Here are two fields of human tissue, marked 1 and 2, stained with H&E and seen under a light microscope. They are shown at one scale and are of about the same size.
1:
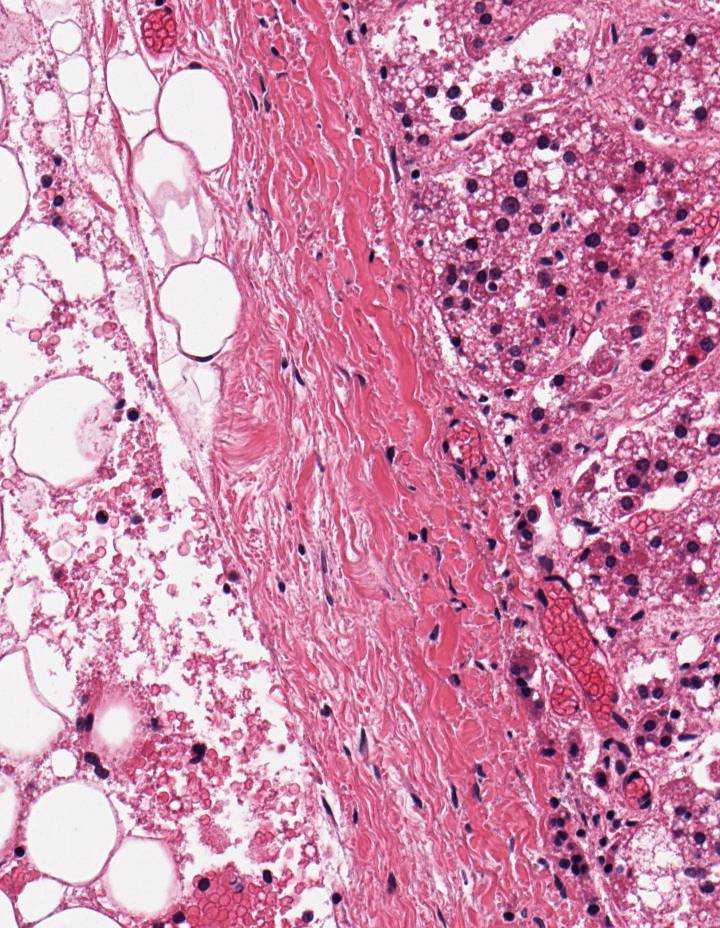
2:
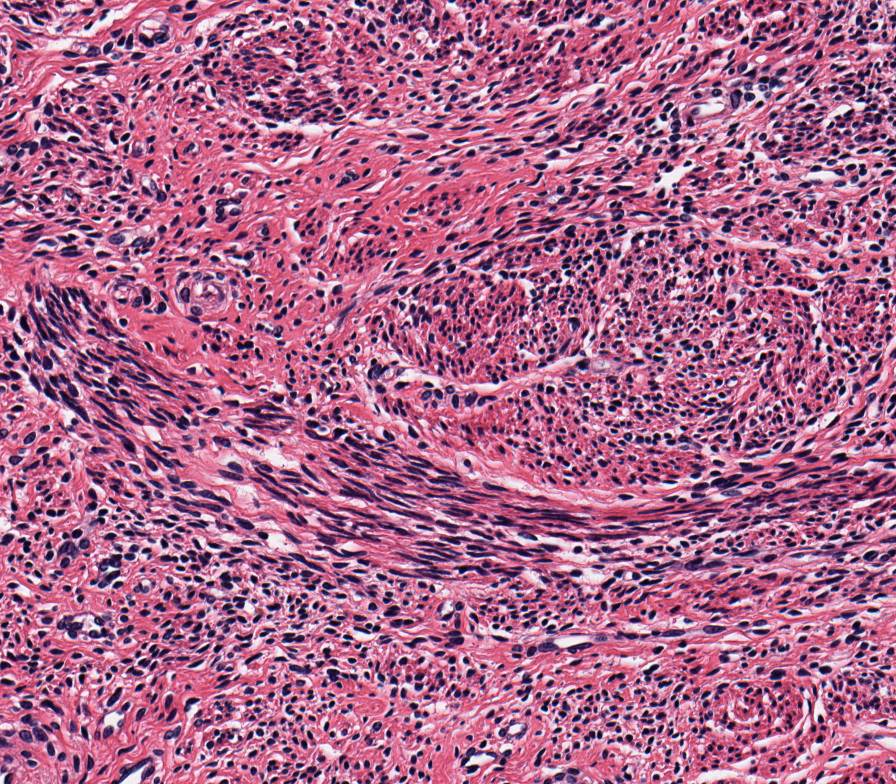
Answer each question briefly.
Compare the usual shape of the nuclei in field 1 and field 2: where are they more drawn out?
2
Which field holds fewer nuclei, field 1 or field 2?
1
